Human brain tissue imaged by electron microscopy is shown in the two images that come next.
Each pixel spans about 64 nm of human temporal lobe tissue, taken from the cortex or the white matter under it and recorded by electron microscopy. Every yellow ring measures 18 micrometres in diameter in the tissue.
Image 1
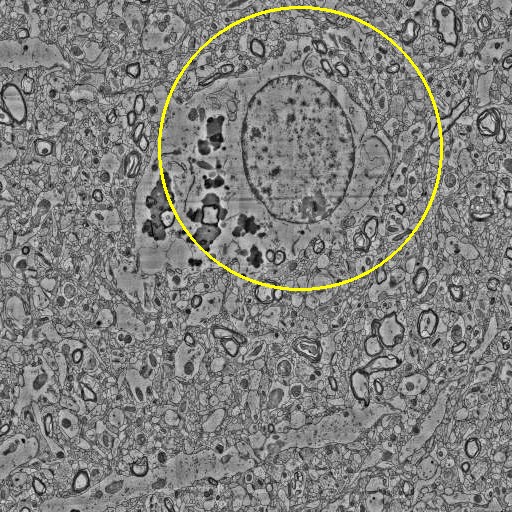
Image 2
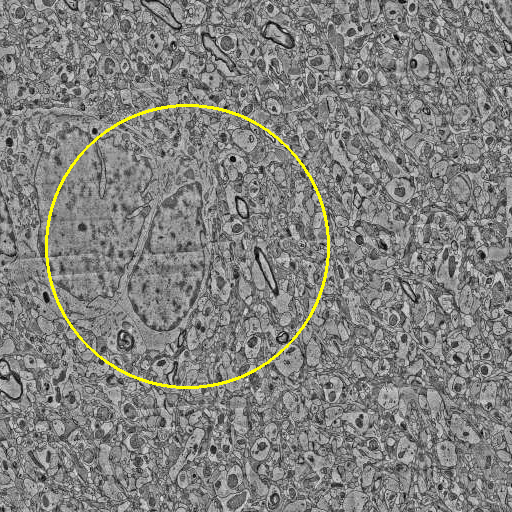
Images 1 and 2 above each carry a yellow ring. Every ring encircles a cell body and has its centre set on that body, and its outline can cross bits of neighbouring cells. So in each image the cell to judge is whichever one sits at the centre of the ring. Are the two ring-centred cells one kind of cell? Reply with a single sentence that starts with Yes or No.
No, in Image 1 and Image 2 the cells at the centres of their rings fall into two types.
